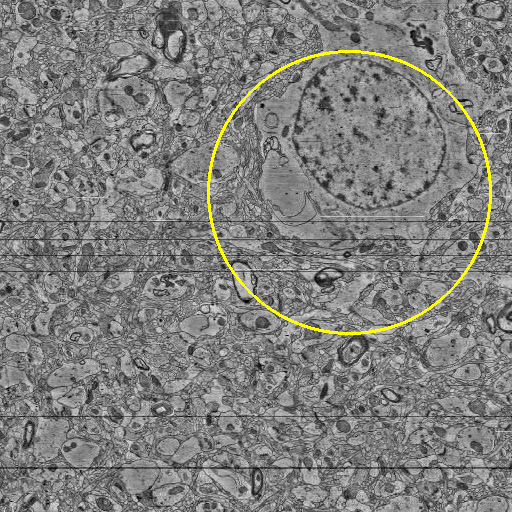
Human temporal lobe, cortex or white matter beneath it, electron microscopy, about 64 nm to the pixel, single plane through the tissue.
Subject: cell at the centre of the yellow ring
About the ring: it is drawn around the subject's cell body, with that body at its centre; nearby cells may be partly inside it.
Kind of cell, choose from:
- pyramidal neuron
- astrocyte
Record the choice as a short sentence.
The subject cell is an astrocyte.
